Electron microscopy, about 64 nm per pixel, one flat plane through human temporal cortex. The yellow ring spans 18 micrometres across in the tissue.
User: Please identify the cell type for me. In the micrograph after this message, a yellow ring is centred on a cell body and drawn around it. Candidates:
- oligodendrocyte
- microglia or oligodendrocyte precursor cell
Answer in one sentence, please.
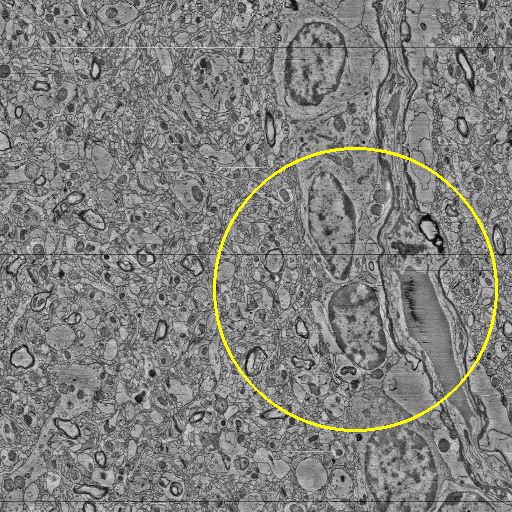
The ring is drawn around the cell body of a microglial cell or oligodendrocyte precursor cell.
